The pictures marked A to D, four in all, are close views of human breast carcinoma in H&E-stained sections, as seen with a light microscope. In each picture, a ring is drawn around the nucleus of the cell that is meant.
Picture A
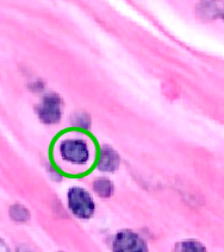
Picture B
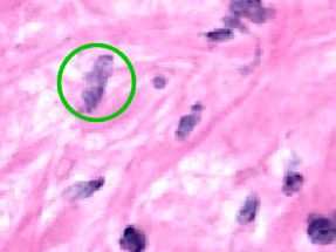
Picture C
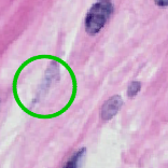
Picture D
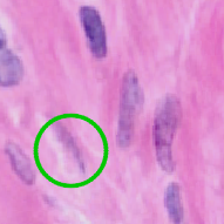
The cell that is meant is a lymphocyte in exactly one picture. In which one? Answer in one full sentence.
The picture with the lymphocyte is A.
